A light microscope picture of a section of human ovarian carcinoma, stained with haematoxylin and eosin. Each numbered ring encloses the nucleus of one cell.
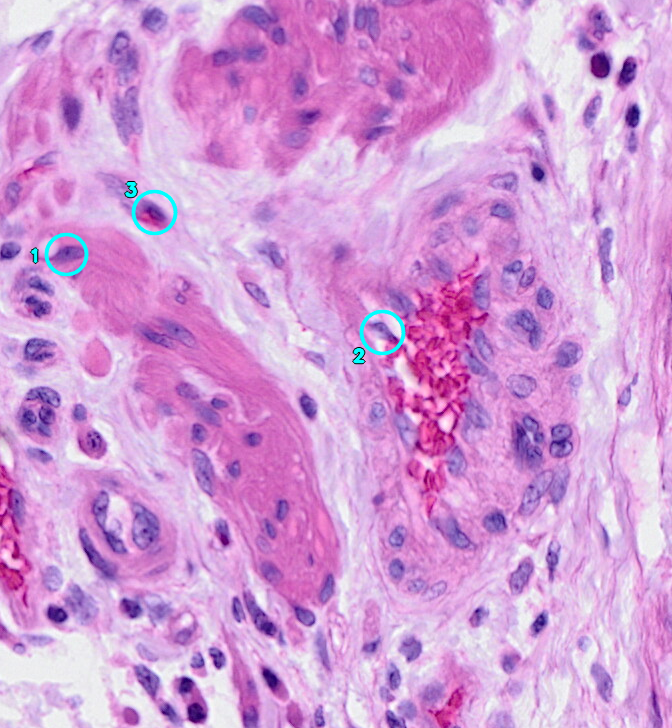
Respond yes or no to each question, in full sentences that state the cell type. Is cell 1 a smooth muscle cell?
Yes, the cell carrying label 1 is a smooth muscle cell.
